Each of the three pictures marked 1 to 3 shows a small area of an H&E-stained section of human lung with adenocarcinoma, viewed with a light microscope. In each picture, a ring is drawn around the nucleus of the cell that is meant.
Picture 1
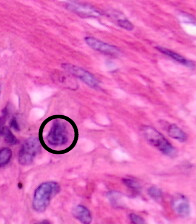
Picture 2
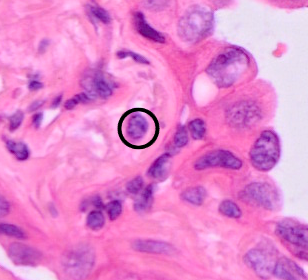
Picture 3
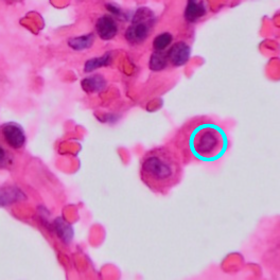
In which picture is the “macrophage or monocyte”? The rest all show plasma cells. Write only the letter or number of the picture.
3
